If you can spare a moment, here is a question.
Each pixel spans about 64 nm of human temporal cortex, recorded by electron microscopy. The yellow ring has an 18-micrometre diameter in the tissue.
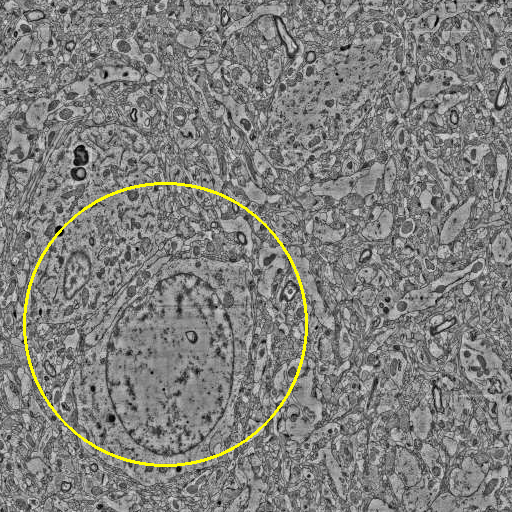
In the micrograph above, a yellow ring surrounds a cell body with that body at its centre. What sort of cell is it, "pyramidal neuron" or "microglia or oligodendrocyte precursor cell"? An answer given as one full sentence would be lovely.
Centred inside the yellow ring, the cell body shown belongs to a pyramidal neuron in this micrograph.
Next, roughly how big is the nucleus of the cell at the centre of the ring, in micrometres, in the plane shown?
About 12 by 8 micrometers for the nucleus, in this plane.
